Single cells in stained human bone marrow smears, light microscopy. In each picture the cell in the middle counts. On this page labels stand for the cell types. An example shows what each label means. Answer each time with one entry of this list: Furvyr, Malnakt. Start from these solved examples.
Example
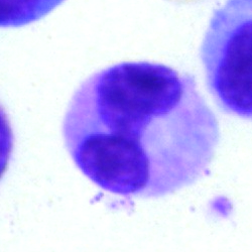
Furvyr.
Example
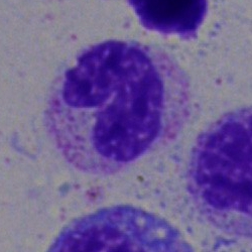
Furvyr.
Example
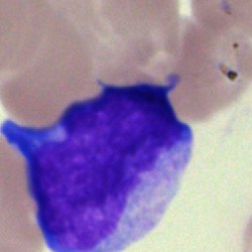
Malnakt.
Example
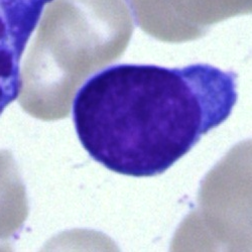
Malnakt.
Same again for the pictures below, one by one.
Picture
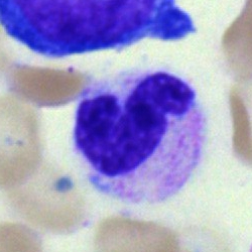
Furvyr.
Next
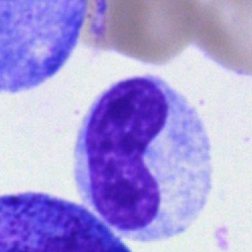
Furvyr.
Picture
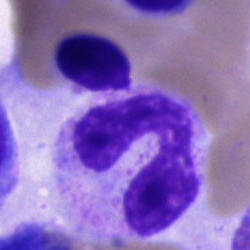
Furvyr.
